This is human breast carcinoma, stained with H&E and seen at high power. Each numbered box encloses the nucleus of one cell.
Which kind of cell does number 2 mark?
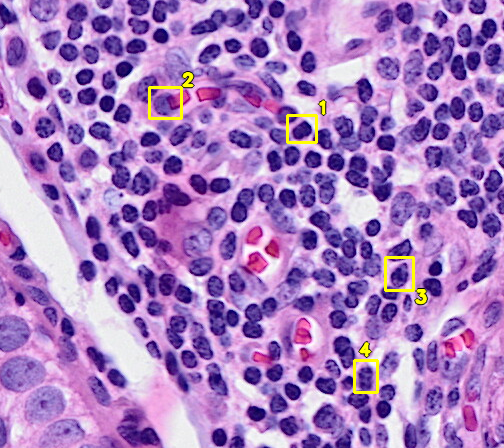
endothelial cell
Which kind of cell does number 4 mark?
lymphocyte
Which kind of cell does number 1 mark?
lymphocyte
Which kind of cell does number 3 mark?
lymphocyte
